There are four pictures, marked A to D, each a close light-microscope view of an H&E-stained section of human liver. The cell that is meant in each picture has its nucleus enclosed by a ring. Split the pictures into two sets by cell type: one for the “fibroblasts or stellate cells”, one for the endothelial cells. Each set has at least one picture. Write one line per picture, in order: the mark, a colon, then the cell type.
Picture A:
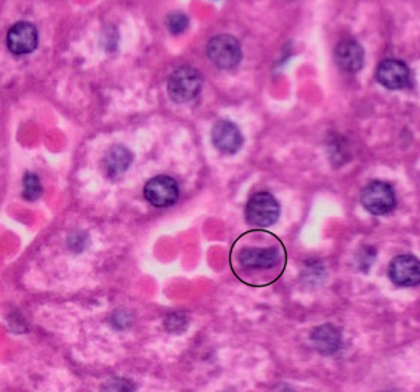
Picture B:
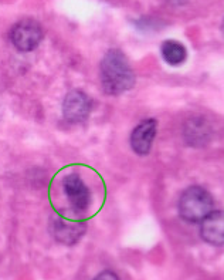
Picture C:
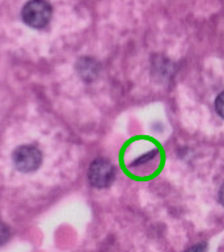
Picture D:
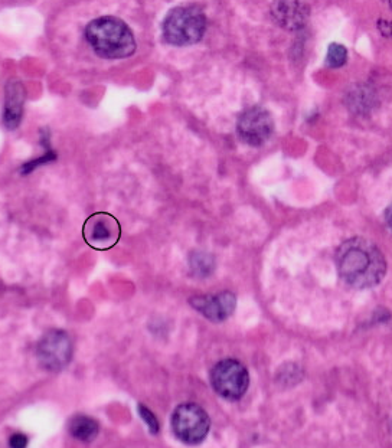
A: fibroblast or stellate cell
B: fibroblast or stellate cell
C: endothelial cell
D: fibroblast or stellate cell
